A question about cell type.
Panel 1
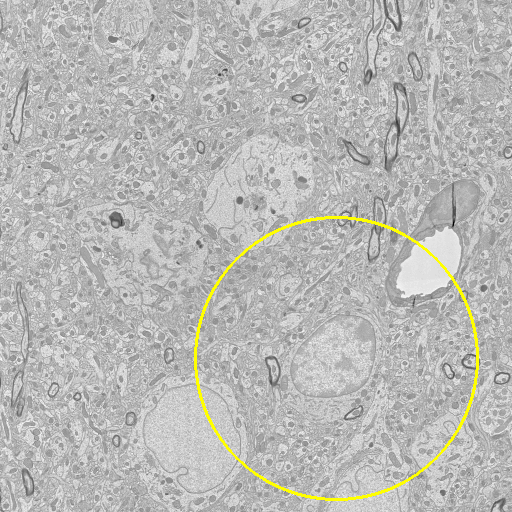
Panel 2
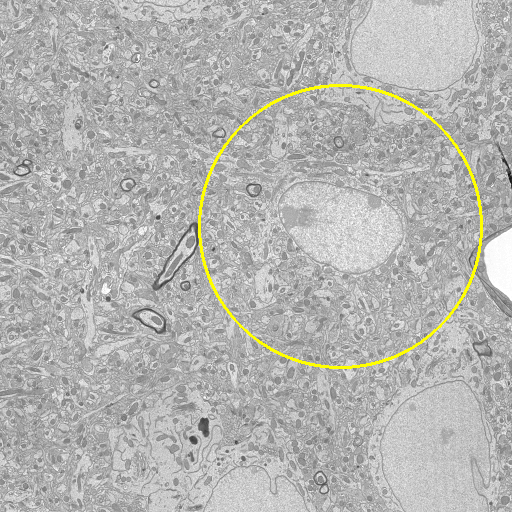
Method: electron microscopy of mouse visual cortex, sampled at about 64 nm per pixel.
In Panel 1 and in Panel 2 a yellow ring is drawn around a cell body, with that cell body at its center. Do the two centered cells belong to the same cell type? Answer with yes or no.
no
